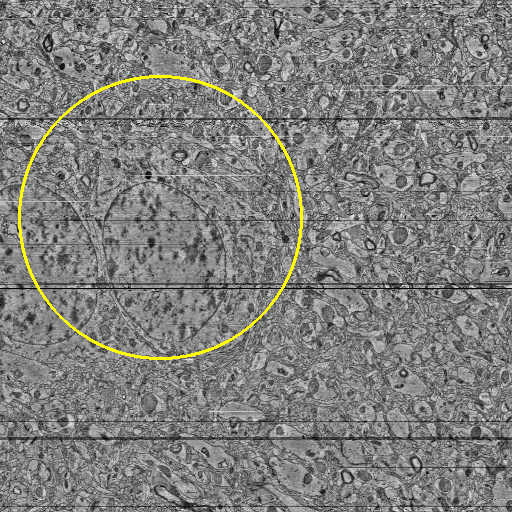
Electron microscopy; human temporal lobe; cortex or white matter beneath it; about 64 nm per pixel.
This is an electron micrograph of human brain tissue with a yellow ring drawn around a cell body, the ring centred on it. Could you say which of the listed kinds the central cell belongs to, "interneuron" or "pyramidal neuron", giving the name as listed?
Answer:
pyramidal neuron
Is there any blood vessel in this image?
No.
